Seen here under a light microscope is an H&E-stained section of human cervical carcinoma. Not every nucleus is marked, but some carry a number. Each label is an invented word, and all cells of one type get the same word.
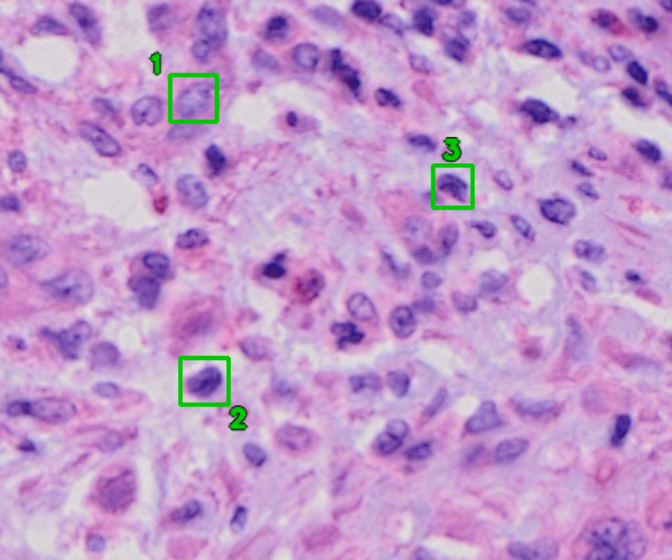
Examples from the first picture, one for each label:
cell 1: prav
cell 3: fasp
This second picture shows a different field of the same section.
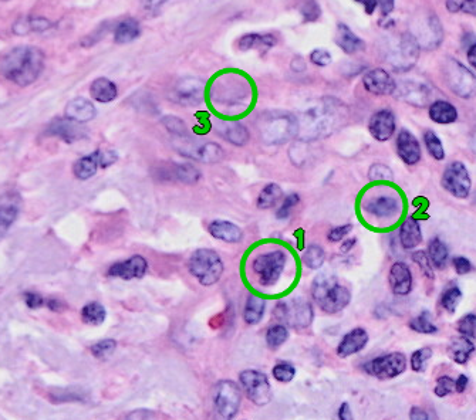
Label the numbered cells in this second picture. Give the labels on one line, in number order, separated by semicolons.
fasp; fasp; prav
